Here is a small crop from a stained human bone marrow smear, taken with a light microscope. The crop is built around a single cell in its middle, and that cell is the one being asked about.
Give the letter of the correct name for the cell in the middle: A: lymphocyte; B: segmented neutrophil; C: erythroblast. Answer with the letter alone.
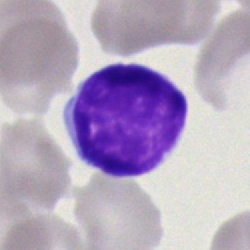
A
